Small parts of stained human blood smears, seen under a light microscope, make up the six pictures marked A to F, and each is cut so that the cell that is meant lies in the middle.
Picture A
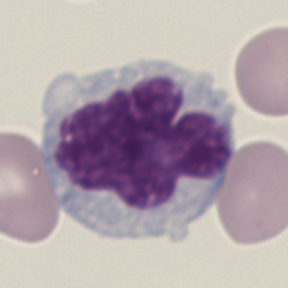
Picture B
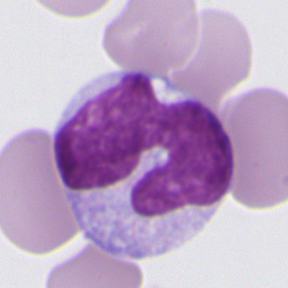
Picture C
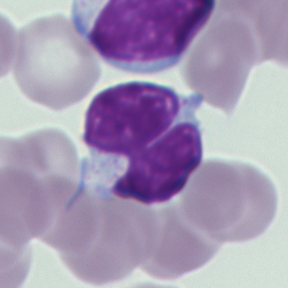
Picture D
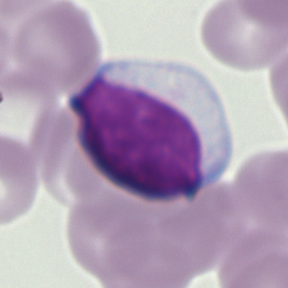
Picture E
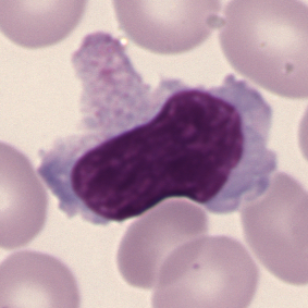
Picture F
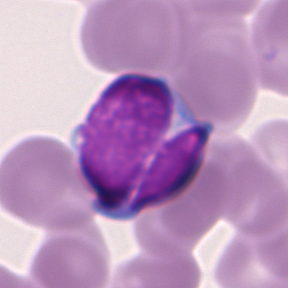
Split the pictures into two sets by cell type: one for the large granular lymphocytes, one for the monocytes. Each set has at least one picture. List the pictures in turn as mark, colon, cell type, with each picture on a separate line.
A: monocyte
B: monocyte
C: large granular lymphocyte
D: large granular lymphocyte
E: large granular lymphocyte
F: large granular lymphocyte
